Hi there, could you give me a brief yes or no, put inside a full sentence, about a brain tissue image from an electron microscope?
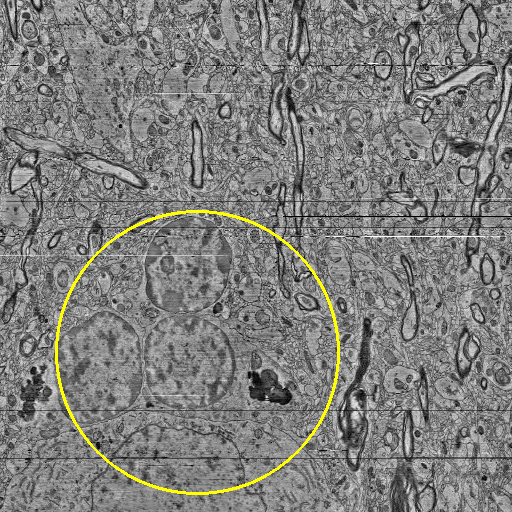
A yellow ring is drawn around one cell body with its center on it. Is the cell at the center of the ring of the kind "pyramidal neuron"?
No, the cell found at the center of the yellow ring is of a different kind.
